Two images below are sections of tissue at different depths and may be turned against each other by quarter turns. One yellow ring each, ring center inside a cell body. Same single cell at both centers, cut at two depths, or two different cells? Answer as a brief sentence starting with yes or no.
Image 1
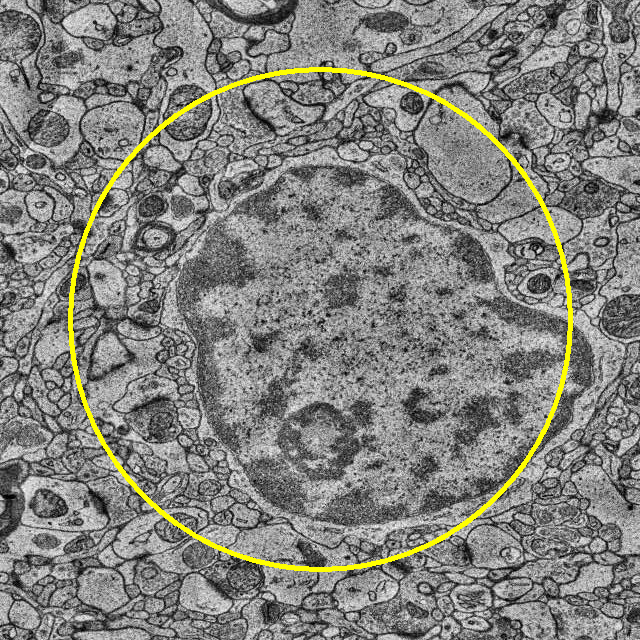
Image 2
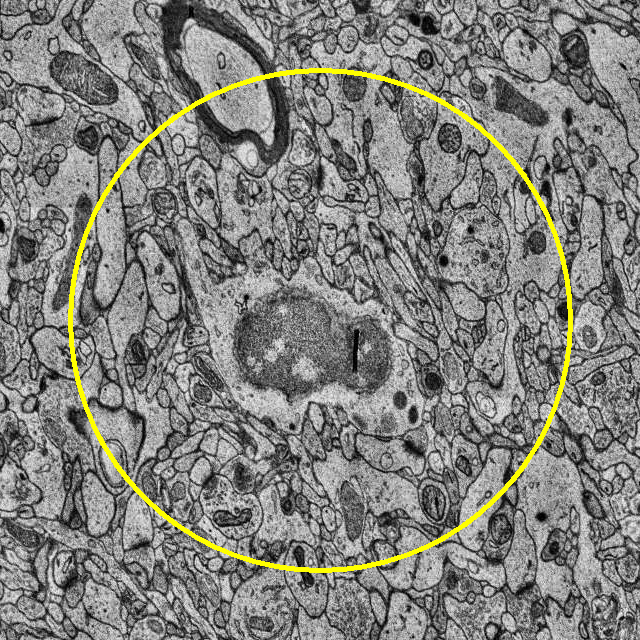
Yes, one single cell is under each of the two rings.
